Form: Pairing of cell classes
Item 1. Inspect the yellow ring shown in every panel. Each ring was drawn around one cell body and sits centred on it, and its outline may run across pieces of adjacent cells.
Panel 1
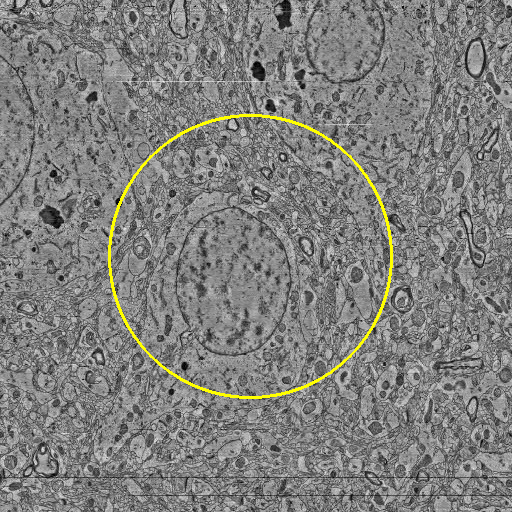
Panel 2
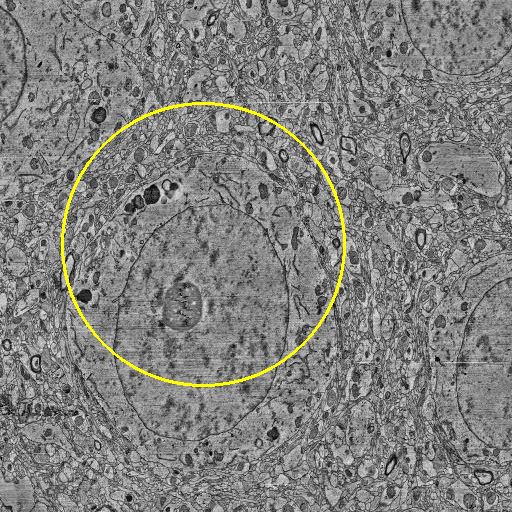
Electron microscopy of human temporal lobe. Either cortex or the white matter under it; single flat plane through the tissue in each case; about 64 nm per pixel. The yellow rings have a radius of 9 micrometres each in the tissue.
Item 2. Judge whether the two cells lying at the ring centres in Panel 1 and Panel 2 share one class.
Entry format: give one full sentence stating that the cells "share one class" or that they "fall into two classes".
The cells at the ring centres in Panel 1 and Panel 2 share one class.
